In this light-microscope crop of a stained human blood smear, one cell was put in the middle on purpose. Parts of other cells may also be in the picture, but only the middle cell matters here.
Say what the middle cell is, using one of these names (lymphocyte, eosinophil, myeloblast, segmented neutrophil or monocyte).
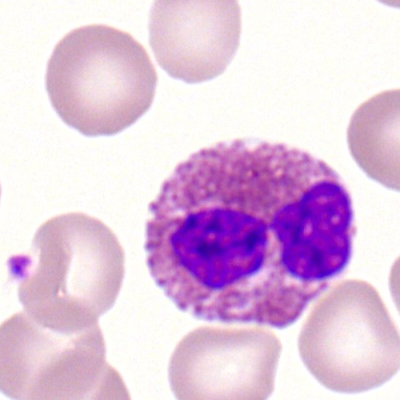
eosinophil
